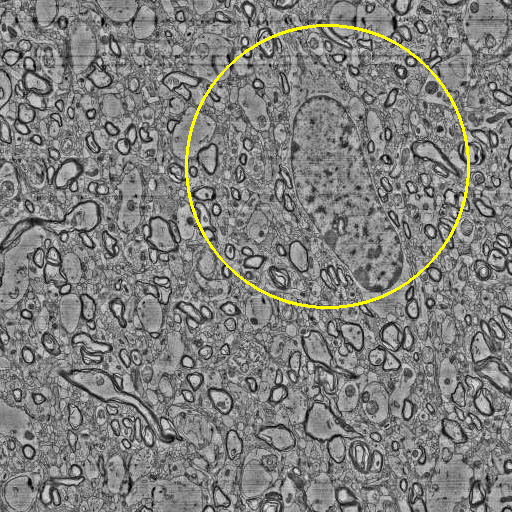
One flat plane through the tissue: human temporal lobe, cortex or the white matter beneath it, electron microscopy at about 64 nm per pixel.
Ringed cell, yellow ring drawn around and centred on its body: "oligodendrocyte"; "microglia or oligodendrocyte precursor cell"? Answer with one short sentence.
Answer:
This ringed cell is a microglial cell or oligodendrocyte precursor cell.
